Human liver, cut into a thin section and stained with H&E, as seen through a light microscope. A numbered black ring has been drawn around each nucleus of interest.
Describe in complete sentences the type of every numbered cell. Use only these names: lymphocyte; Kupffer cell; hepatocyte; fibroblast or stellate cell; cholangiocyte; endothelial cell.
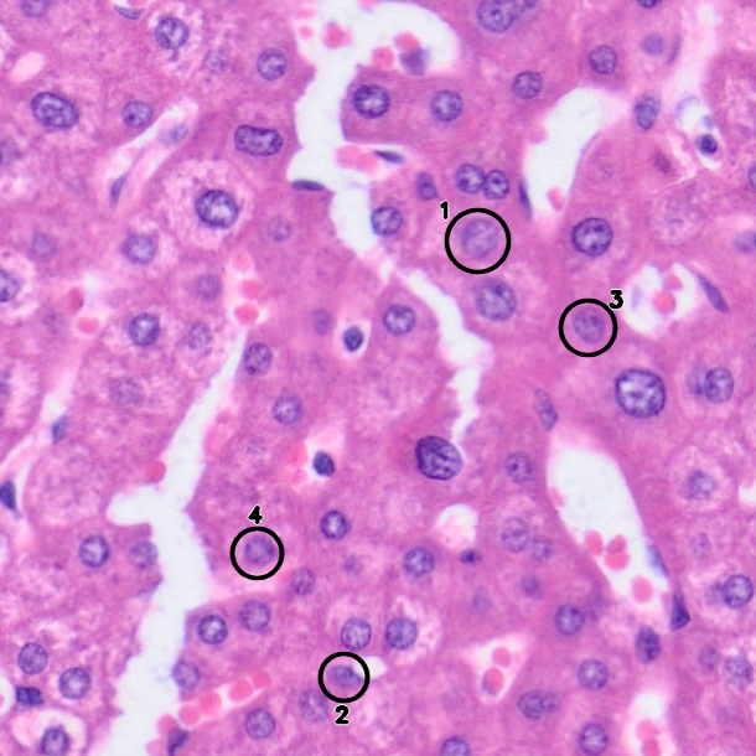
Cell 1 is a hepatocyte, cell 2 is an endothelial cell, cell 3 is a hepatocyte and cell 4 is a hepatocyte.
